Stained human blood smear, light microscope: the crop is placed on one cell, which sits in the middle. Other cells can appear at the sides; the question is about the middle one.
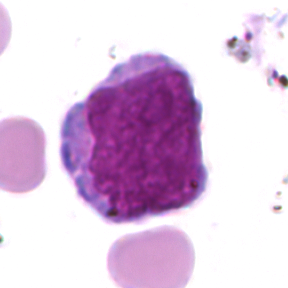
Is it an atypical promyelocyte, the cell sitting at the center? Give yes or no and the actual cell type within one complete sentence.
Yes, the central cell of this crop corresponds to an atypical promyelocyte.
